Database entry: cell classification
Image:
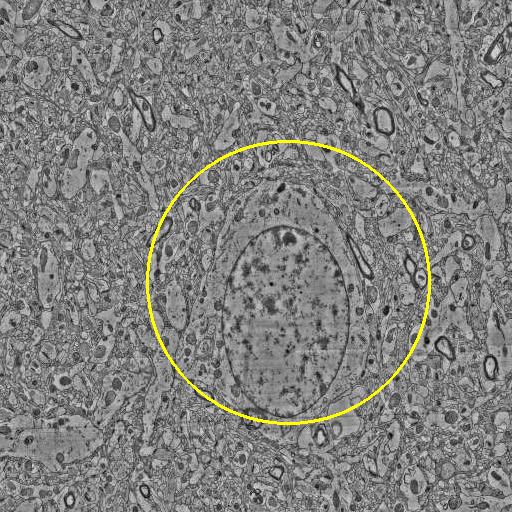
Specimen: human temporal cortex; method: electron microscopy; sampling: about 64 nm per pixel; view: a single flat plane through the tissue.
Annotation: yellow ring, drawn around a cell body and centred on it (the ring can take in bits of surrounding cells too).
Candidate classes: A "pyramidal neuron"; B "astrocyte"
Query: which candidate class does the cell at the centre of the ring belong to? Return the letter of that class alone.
A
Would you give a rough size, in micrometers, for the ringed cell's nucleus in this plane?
About 12 by 9 micrometres in this plane.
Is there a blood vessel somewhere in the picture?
No, no blood vessel shows in the picture.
